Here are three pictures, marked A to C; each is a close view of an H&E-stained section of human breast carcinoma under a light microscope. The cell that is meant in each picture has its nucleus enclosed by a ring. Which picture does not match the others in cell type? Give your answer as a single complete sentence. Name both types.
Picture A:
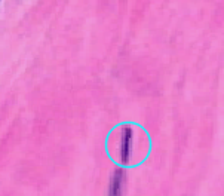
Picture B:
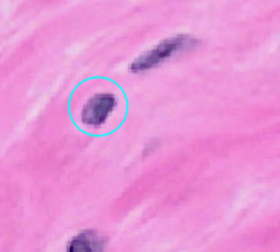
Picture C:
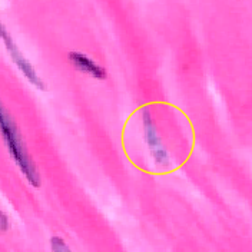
All pictures except B show fibroblasts; picture B shows a lymphocyte.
